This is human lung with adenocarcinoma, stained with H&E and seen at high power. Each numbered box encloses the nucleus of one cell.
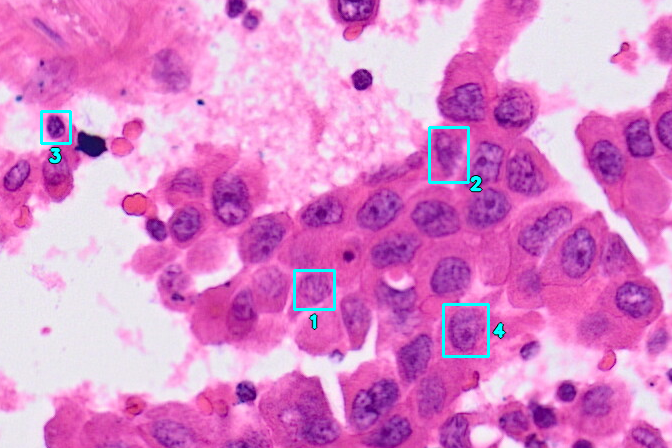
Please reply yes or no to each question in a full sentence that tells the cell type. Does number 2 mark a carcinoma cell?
Yes. The cell carrying number 2 is a carcinoma cell.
